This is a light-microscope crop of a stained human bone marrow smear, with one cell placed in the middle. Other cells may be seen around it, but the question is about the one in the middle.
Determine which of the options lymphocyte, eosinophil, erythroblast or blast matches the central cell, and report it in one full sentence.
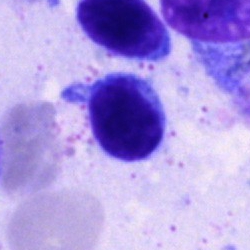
Centred in the crop is a lymphocyte.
